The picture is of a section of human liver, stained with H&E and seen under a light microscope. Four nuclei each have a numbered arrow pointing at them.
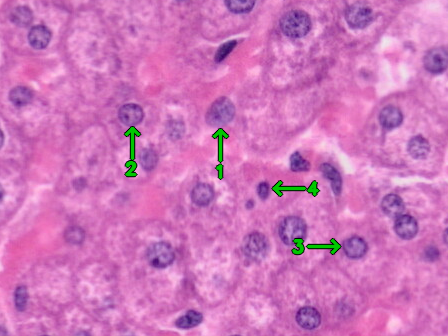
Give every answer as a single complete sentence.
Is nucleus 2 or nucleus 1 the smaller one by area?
The smaller nucleus is 2, and 1 covers roughly 1.5 times its area.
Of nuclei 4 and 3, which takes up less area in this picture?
It is nucleus 4; nucleus 3 has about 2 times its area.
